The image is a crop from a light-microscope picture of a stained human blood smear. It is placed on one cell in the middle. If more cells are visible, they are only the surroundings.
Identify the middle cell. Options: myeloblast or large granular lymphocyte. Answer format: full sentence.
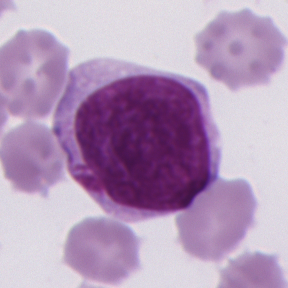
Present in the middle of the crop is a myeloblast.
